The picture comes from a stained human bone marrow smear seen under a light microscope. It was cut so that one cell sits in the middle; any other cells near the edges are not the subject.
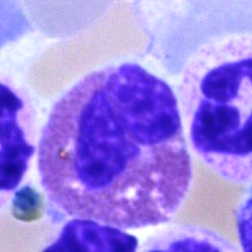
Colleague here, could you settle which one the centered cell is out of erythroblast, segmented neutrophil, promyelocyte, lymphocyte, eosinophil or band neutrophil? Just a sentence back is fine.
In this crop, the cell at the very middle is an eosinophil.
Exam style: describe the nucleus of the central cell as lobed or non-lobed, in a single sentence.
What stands out is a nucleus forming one compact round, oval or kidney-shaped mass.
